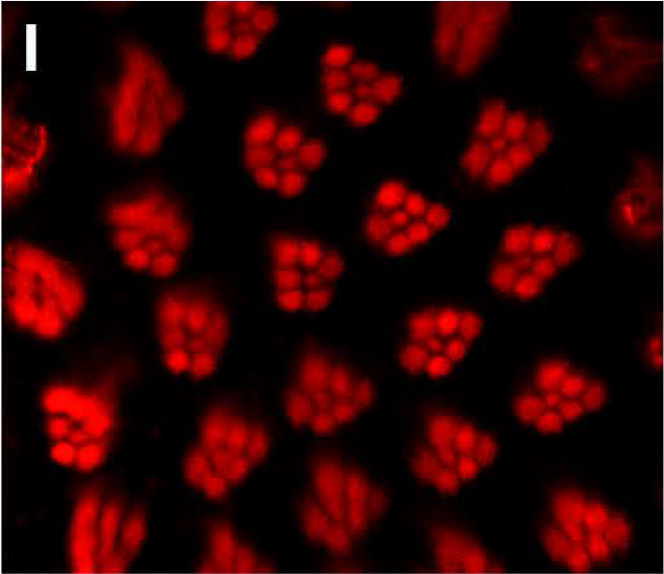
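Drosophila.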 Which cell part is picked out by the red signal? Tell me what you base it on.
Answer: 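Rhabdomeres. Red profiles grouped in trapezoid-like clusters of about seven. Clusters repeat regularly across the field.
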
